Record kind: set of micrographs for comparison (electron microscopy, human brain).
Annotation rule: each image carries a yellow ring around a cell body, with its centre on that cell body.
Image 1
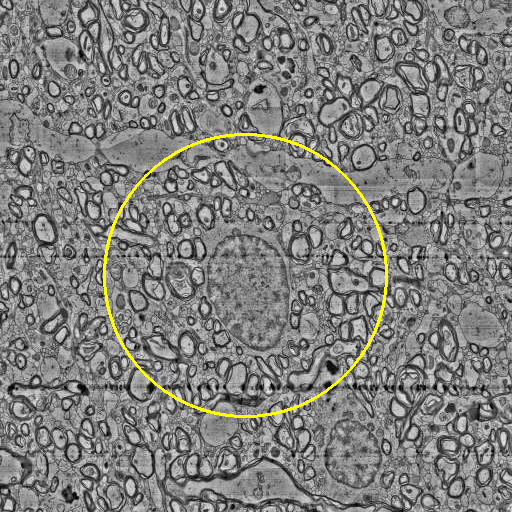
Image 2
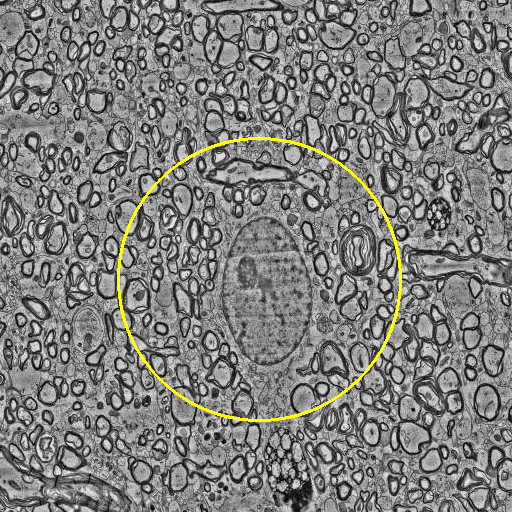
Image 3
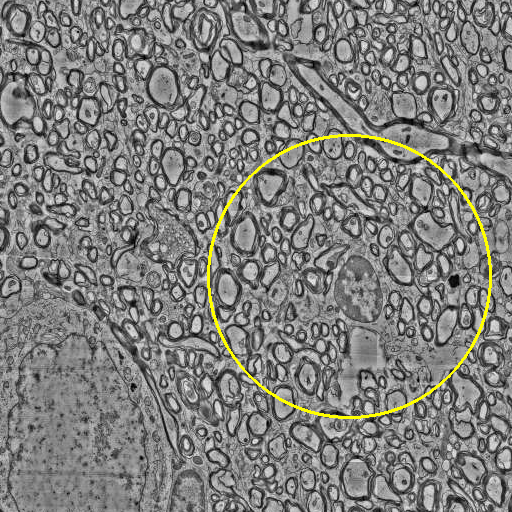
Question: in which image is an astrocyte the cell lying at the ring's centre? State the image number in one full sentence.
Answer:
In image 2, the ring is centred on the cell in question.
